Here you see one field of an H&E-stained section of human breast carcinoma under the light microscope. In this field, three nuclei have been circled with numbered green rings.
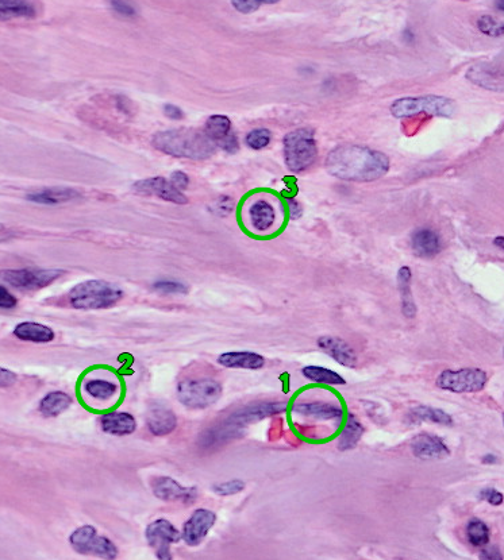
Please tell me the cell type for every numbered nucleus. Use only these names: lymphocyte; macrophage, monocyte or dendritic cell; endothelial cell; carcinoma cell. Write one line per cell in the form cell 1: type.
cell 1: endothelial cell
cell 2: lymphocyte
cell 3: lymphocyte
